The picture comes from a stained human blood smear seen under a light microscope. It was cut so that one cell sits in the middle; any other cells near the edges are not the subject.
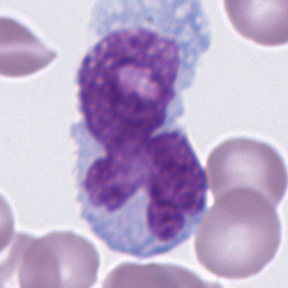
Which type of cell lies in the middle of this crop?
monocyte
